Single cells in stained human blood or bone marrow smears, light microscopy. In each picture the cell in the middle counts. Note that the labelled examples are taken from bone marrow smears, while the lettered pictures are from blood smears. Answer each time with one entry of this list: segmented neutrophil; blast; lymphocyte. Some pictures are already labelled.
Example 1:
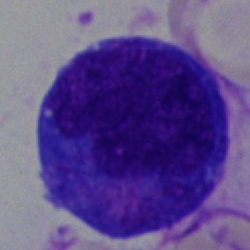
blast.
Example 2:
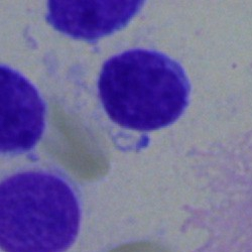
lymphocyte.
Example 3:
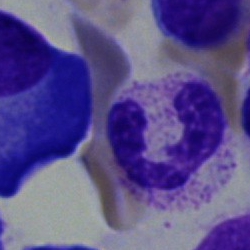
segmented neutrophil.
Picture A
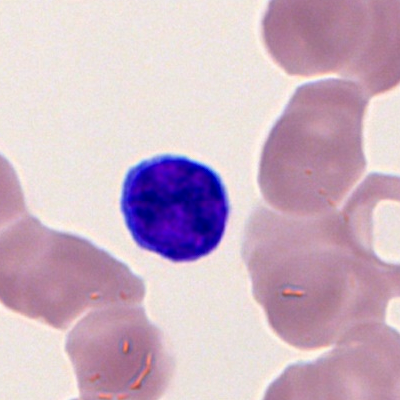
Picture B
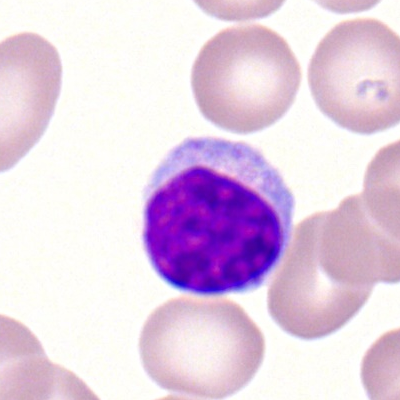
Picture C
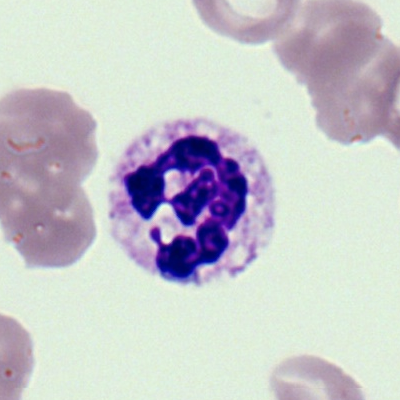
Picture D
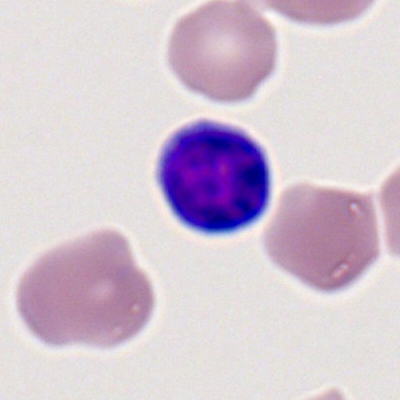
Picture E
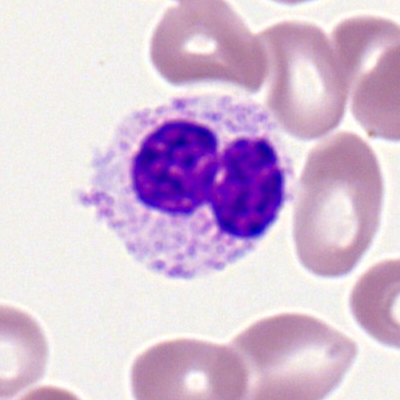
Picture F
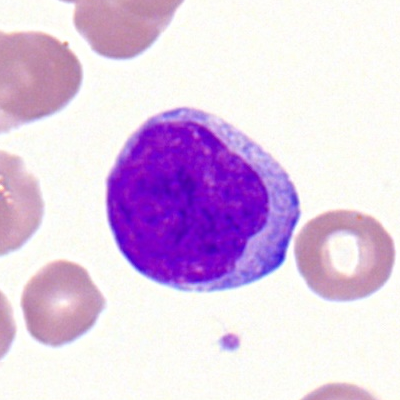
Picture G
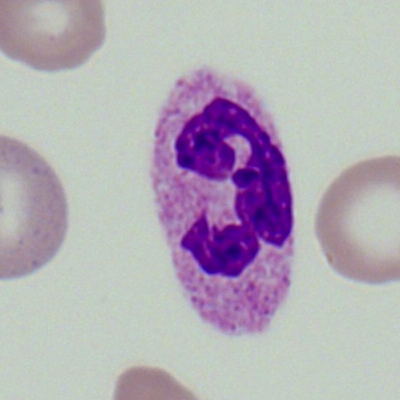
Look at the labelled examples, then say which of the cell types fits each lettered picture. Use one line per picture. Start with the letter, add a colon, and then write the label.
A: lymphocyte.
B: lymphocyte.
C: segmented neutrophil.
D: lymphocyte.
E: segmented neutrophil.
F: blast.
G: segmented neutrophil.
